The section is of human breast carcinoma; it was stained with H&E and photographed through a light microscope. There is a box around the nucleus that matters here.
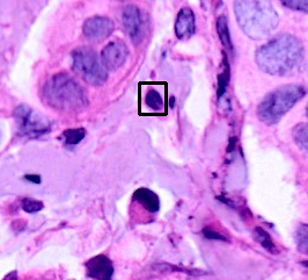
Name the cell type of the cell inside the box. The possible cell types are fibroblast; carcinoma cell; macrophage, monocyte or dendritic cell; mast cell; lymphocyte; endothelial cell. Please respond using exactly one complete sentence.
As for its identity, the cell inside the box is a mast cell.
